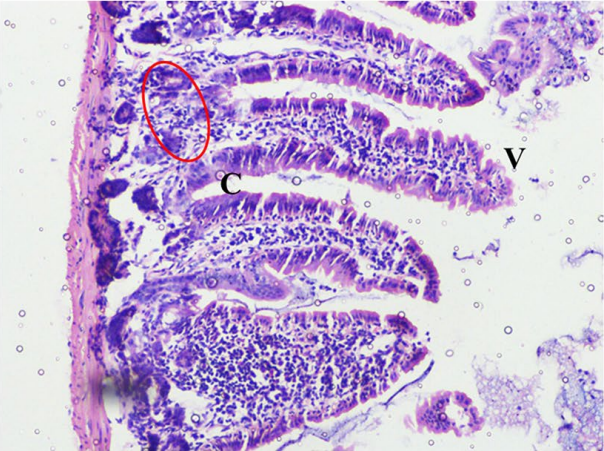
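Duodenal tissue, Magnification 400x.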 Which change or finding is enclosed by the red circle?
Inflammatory cell infiltration.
